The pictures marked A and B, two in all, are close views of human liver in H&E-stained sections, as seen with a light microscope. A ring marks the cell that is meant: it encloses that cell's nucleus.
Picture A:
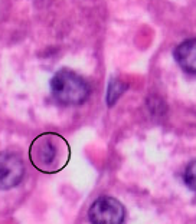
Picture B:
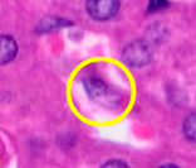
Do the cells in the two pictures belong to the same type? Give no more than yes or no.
yes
